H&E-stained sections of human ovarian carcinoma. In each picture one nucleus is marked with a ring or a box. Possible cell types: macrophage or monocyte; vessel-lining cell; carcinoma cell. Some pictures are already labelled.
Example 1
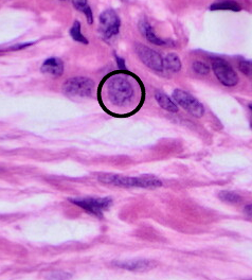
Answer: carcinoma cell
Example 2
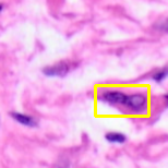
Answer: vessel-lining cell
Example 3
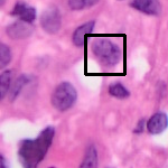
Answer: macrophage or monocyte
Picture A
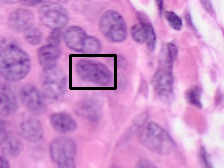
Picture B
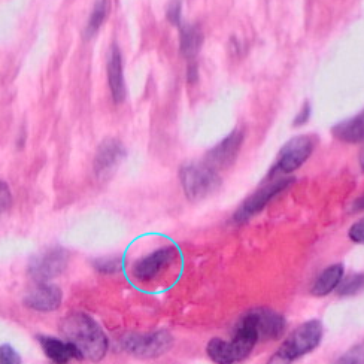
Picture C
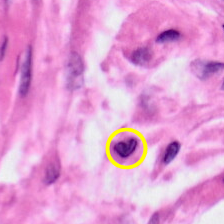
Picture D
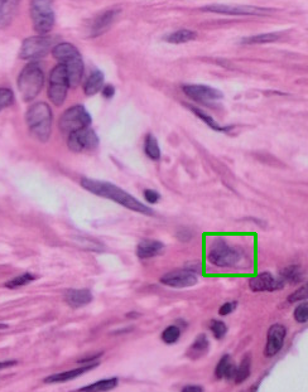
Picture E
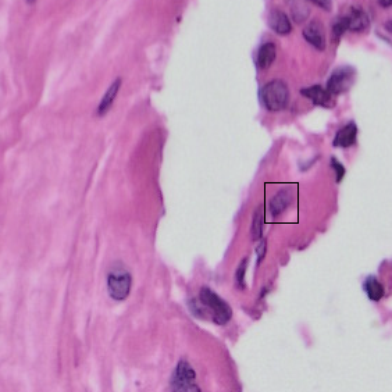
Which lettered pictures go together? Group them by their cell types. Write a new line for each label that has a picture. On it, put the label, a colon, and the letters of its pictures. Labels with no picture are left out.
macrophage or monocyte: C
vessel-lining cell: B, D, E
carcinoma cell: A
